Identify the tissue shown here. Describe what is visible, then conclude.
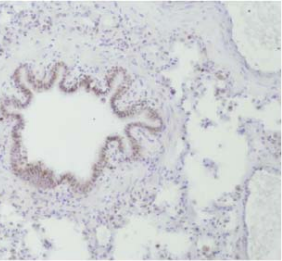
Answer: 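Normal lung. Thin-walled alveolar spaces surround a folded airway. No solid sheets or nests of cells.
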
